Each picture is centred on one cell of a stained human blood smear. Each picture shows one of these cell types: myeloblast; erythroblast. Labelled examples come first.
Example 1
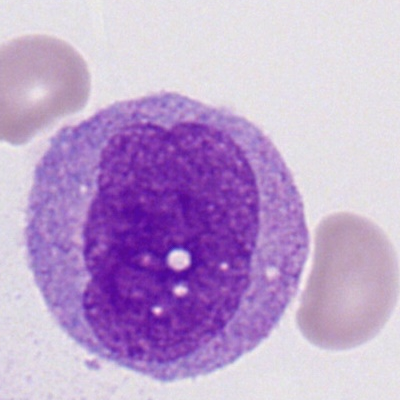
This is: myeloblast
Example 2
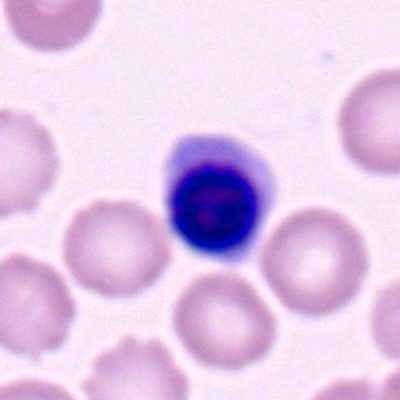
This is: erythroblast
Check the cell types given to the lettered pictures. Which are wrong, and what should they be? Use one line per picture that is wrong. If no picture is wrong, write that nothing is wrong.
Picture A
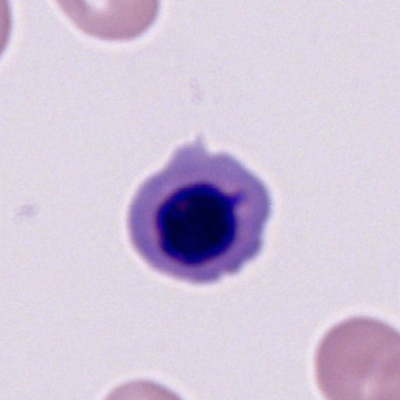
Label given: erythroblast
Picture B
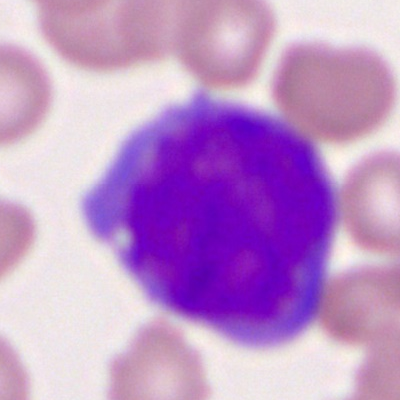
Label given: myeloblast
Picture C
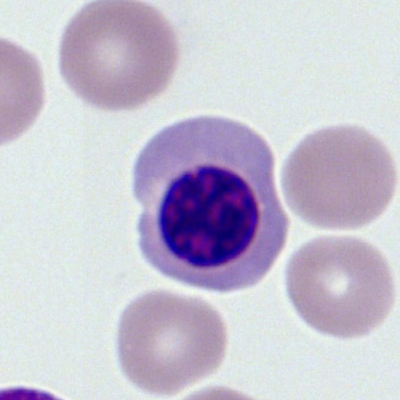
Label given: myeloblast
Wrong: C (myeloblast); correct: erythroblast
